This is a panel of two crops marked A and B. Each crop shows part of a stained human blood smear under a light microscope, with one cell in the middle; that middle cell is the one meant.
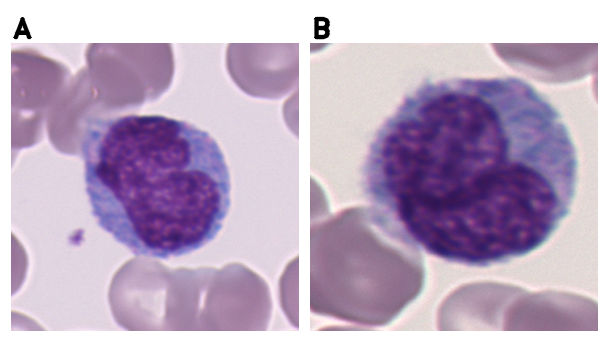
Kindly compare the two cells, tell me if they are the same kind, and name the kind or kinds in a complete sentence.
Yes, it is monocytes that occupy the middle of both crops.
